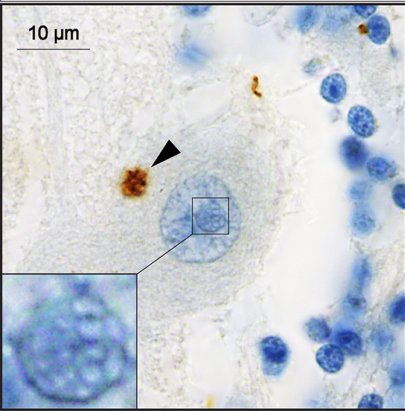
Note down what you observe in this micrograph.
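Cerebellar Purkinje cell seen at high magnification, with a large pale blue cell body and a large round nucleus. The nucleus is pale with fine granular chromatin and one prominent nucleolus, which in the enlarged view contains several small pale round spots. A small compact brown deposit lies in the cytoplasm beside the nucleus. Densely packed small round nuclei stained dark blue lie along one edge of the cell. A few other small brown specks lie in the surrounding neuropil.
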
